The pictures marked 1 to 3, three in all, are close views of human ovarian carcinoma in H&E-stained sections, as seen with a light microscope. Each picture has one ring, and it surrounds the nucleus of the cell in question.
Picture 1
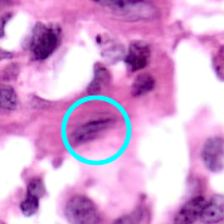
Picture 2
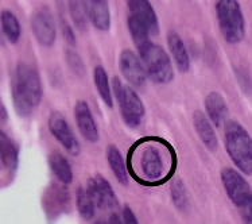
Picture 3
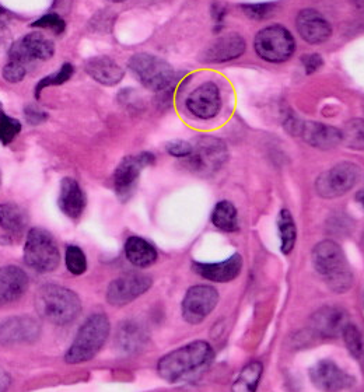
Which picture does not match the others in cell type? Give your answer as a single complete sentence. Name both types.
All pictures except 1 show “macrophages or monocytes”; picture 1 shows an endothelial cell.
